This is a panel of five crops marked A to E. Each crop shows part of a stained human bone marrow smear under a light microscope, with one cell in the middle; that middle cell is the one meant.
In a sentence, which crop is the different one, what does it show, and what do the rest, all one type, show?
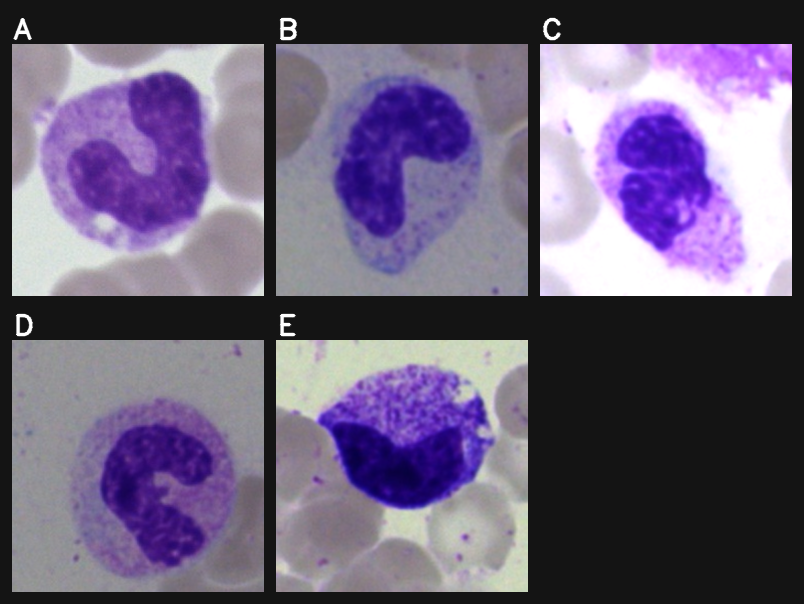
Of the crops, all show band neutrophils save crop C, which shows a segmented neutrophil.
